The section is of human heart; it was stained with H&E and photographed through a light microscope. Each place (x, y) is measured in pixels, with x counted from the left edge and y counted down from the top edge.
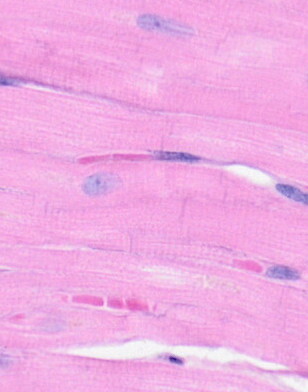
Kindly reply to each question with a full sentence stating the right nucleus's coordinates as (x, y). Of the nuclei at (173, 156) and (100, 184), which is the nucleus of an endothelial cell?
The nucleus that belongs to an endothelial cell sits at (173, 156).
